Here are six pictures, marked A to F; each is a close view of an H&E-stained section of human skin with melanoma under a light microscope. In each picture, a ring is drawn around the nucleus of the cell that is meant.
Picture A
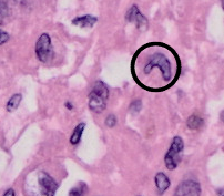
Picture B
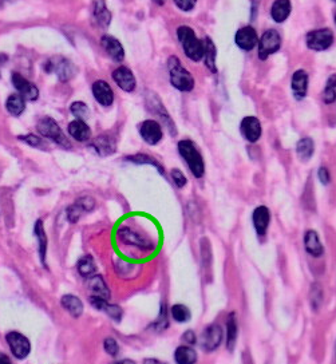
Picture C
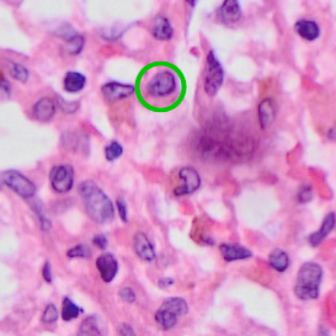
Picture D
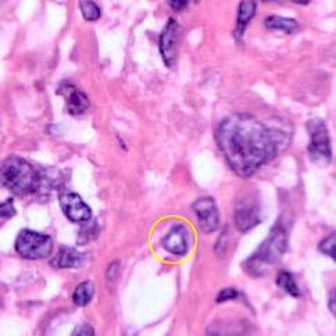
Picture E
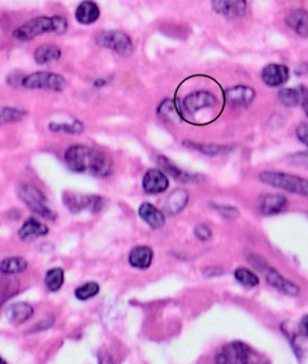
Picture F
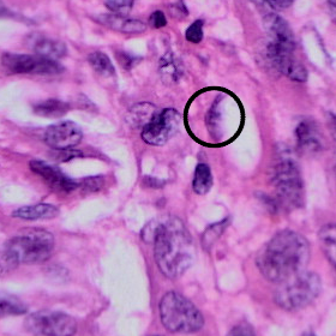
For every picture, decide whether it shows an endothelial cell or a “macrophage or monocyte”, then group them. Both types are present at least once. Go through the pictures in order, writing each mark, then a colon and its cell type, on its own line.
A: macrophage or monocyte
B: endothelial cell
C: macrophage or monocyte
D: endothelial cell
E: endothelial cell
F: endothelial cell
